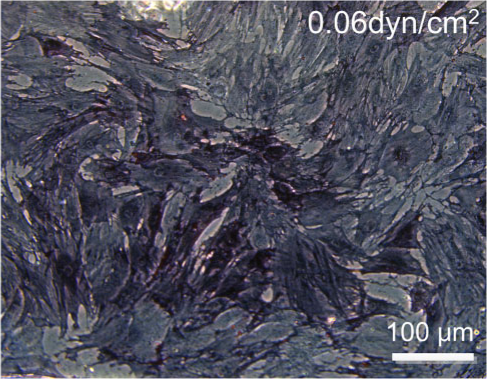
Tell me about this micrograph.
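The cells are elongated and spindle-shaped, packed closely side by side, and they run in streams that curve and swirl across the field. The darkest precipitate gathers in the middle of the picture, where cells overlap heavily; towards the edges paler, flatter cells show grey-white bodies between dark outlines. Individual nuclei are hard to make out under the dense stain. Almost no bare spaces remain between cells.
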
